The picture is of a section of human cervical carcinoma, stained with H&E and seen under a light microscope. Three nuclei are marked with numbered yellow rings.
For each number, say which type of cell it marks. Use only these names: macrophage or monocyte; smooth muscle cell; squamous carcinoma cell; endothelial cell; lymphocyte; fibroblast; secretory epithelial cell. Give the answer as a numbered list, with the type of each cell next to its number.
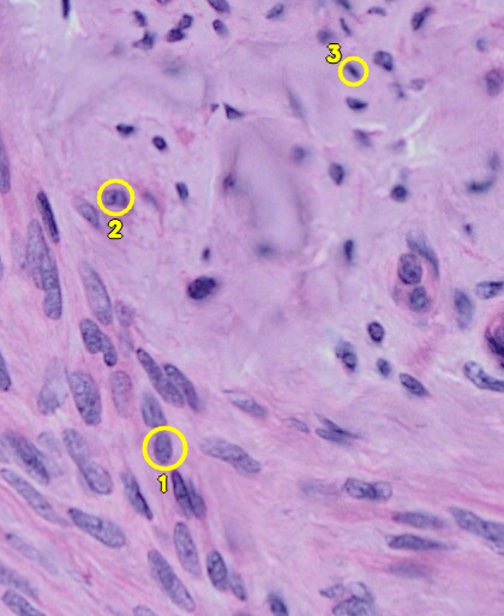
1. smooth muscle cell
2. smooth muscle cell
3. fibroblast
